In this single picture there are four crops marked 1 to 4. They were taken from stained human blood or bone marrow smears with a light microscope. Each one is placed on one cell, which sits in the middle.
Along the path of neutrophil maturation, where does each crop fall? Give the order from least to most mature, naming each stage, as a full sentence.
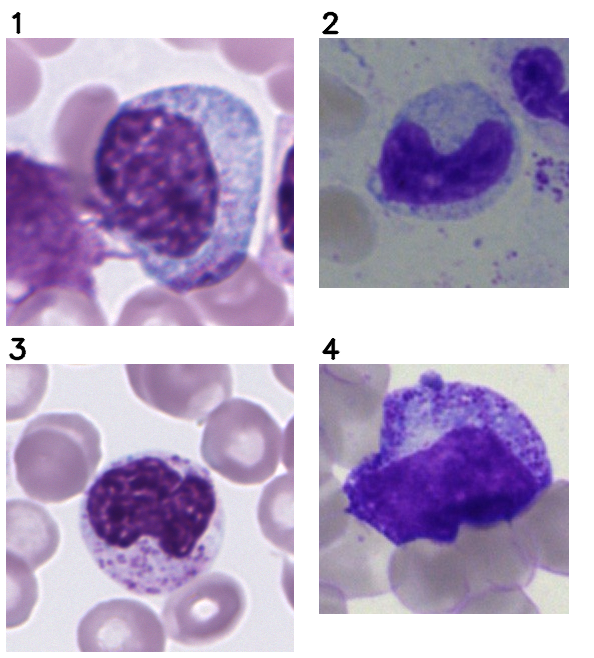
The least to most mature sequence reads crop 1 (a promyelocyte), crop 4 (a myelocyte), crop 2 (a band neutrophil) and crop 3 (a segmented neutrophil).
